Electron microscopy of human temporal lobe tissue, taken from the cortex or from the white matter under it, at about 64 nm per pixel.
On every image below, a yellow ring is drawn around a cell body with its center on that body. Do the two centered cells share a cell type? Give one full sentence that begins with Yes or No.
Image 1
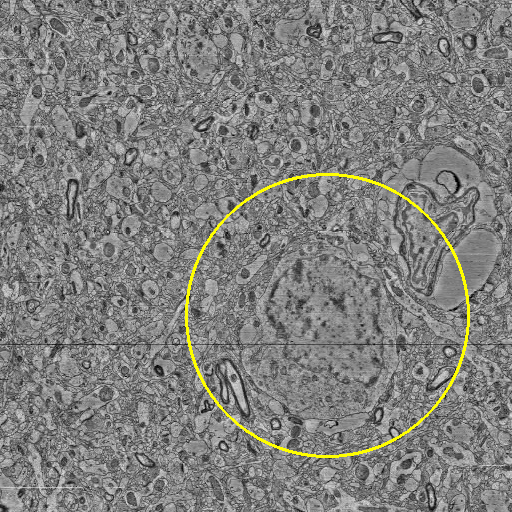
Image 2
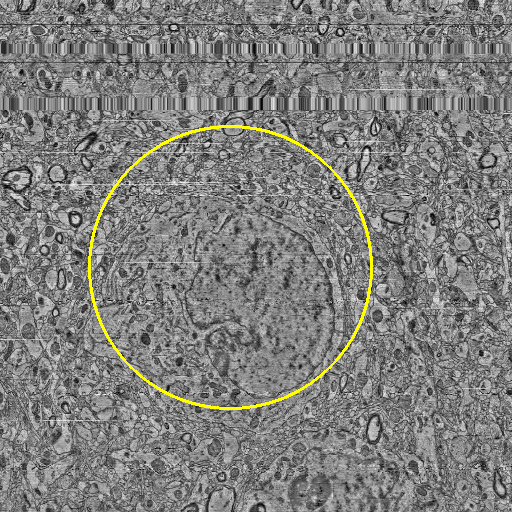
Yes, the centered cells in the two images are of a single cell type.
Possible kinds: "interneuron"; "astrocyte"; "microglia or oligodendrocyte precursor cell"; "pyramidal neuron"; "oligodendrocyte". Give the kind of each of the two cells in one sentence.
The first and the second cell are each an interneuron.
